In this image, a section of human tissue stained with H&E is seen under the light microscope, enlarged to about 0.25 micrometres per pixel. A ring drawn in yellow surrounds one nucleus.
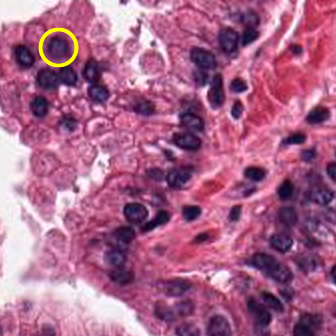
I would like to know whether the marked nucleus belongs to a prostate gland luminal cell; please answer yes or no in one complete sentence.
Yes, the marked nucleus belongs, in this section, to a prostate gland luminal cell.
